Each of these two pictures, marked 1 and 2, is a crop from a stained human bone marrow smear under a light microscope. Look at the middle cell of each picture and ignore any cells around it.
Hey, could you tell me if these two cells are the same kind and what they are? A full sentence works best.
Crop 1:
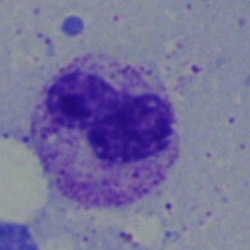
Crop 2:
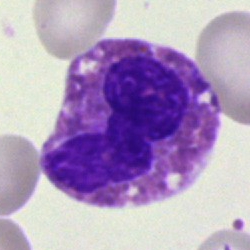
No, a metamyelocyte and an eosinophil are found in crop 1 and crop 2, respectively.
